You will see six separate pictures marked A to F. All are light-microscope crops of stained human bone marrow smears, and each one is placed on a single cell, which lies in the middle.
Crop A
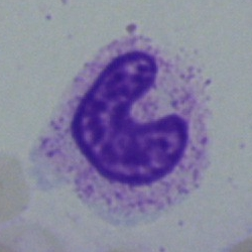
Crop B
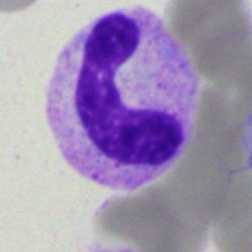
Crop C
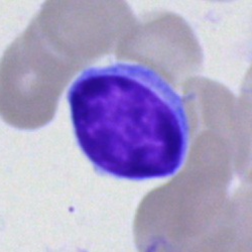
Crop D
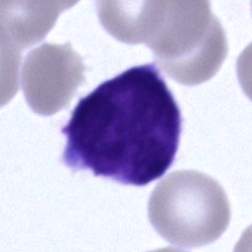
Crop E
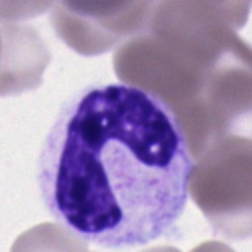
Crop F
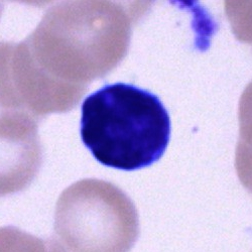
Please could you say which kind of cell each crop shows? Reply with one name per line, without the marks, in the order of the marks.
band neutrophil
band neutrophil
lymphocyte
lymphocyte
band neutrophil
lymphocyte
